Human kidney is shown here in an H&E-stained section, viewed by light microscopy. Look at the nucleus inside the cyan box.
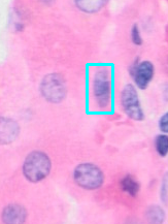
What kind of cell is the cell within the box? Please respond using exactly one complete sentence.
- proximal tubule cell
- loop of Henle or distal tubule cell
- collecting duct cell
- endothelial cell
In this tissue section, the cell within the box is to be classed as an endothelial cell.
